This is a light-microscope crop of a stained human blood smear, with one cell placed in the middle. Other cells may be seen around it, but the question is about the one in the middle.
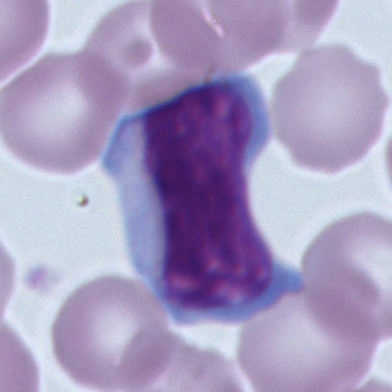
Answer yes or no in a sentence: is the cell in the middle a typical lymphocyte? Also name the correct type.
Yes, the cell in the centre is a typical lymphocyte.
